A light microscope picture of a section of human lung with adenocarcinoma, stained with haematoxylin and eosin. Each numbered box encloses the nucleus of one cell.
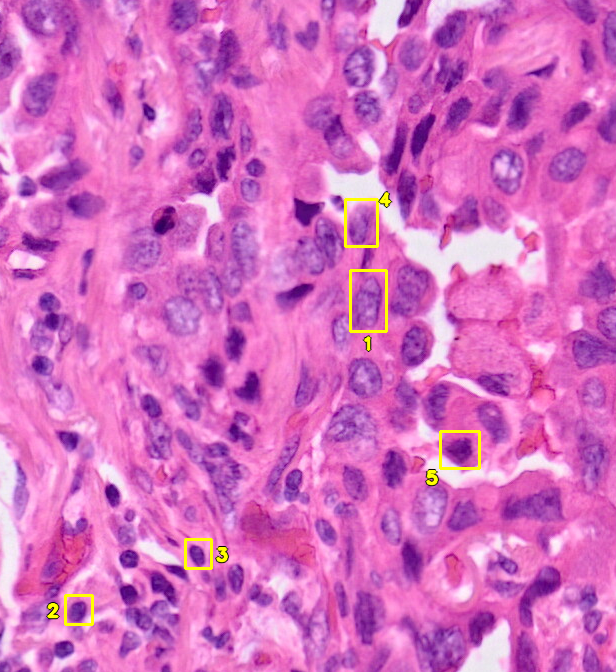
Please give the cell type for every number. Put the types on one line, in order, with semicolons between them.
carcinoma cell; lymphocyte; lymphocyte; carcinoma cell; carcinoma cell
